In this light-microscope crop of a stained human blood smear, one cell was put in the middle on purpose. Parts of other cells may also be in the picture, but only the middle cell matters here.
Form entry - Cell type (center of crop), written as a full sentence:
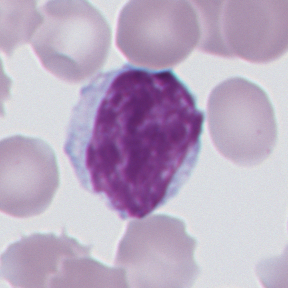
The cell centred in this crop is categorized as a typical lymphocyte.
